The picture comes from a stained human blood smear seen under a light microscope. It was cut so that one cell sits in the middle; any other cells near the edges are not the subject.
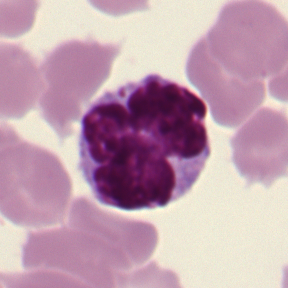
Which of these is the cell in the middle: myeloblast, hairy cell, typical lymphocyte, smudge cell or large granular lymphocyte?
typical lymphocyte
